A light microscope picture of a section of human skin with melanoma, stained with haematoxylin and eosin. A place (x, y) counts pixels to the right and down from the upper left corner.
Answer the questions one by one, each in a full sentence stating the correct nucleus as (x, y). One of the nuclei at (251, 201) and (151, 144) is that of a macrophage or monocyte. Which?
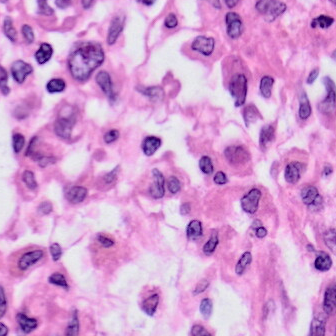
As for which of the two, the nucleus at (251, 201) belongs to a macrophage or monocyte.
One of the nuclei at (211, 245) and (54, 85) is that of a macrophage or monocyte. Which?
The nucleus that sits at (211, 245) is the nucleus of a macrophage or monocyte.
